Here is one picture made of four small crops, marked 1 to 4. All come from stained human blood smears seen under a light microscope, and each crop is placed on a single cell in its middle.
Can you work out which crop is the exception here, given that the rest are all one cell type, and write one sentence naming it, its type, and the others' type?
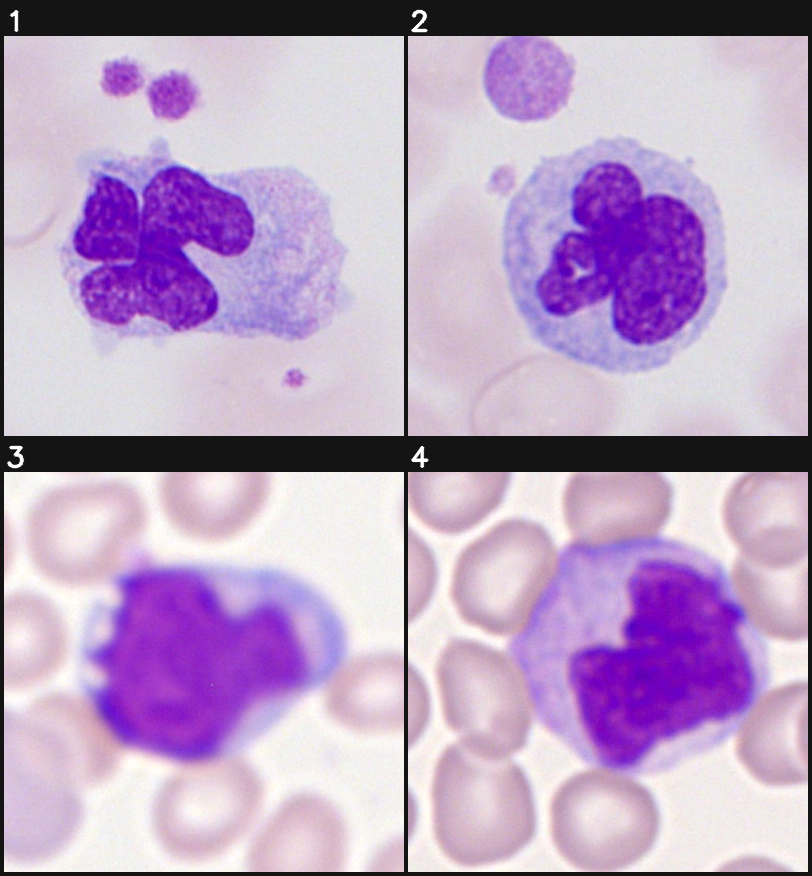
Crop 3 is the only one that is a blast; all the others show monocytes.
